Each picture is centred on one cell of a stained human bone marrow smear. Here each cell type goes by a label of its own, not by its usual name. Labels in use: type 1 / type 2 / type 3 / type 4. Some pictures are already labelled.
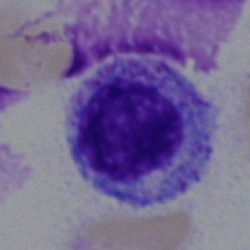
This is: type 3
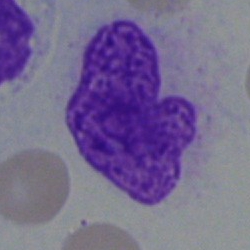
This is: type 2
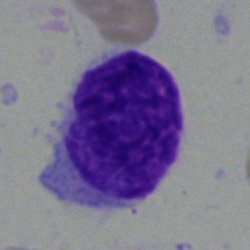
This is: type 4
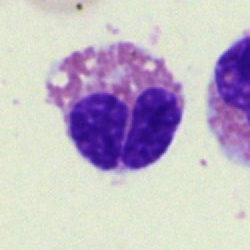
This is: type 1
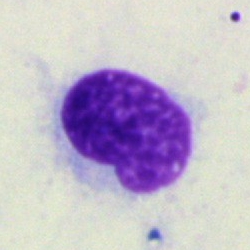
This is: type 4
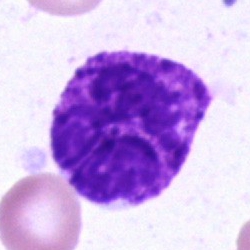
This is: type 1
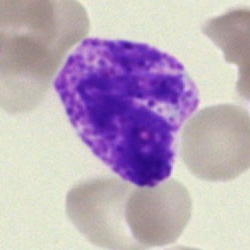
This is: type 1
